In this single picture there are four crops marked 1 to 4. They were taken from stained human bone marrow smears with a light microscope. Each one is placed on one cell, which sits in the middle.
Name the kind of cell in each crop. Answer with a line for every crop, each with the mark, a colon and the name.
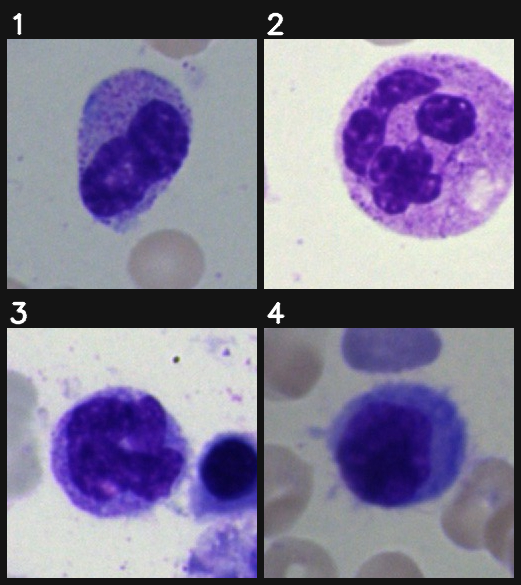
1: metamyelocyte
2: segmented neutrophil
3: monocyte
4: hairy cell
